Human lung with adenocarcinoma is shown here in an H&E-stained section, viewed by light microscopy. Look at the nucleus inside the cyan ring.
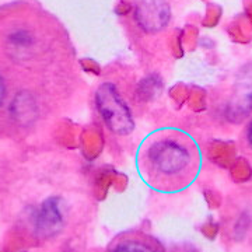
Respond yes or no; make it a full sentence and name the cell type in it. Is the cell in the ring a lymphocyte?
No, the cell in the ring qualifies as a macrophage or monocyte and does not qualify as a lymphocyte.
